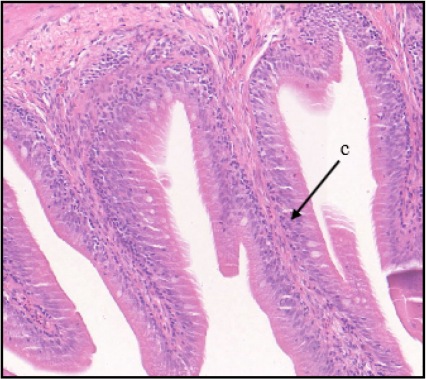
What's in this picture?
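This section of intestine shows long, slender villi projecting into an open, clear lumen. Each villus is lined by a single layer of tall columnar epithelial cells with basal purple nuclei and pink cytoplasm, interspersed with pale rounded goblet-like vacuoles, around a narrow central core of connective tissue.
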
